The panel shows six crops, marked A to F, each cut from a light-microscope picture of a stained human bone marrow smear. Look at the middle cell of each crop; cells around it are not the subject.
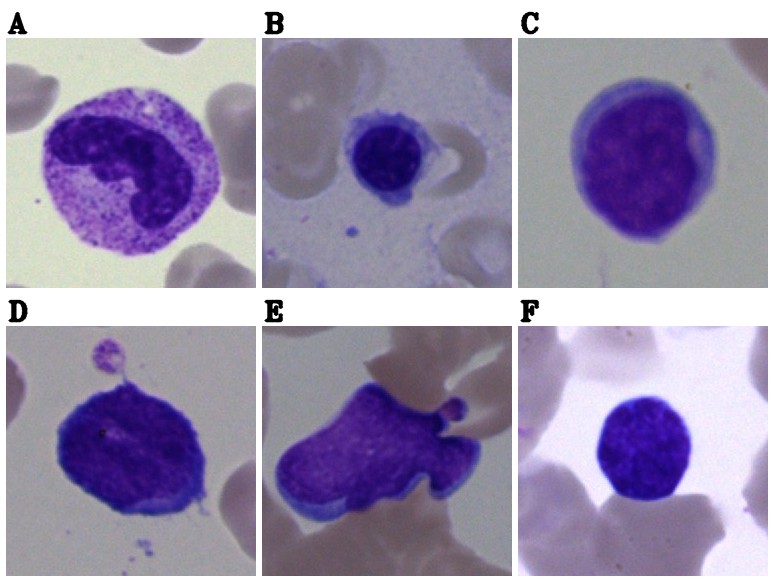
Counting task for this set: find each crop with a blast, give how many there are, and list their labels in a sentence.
Here, three crops, C, D and E, show blasts.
